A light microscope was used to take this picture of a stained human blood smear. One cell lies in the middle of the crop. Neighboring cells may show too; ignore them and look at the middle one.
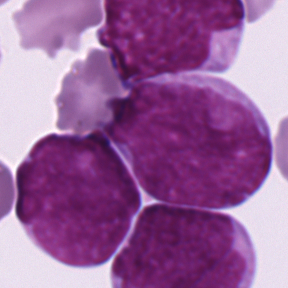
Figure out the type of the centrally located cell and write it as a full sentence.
In short, the cell at the center is a blast.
